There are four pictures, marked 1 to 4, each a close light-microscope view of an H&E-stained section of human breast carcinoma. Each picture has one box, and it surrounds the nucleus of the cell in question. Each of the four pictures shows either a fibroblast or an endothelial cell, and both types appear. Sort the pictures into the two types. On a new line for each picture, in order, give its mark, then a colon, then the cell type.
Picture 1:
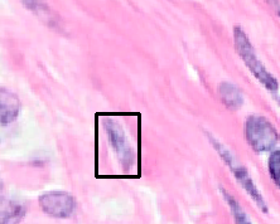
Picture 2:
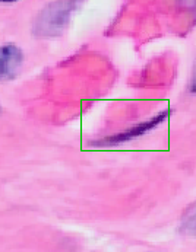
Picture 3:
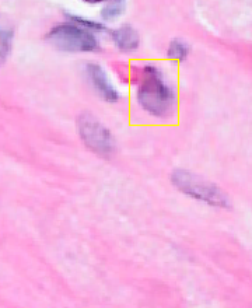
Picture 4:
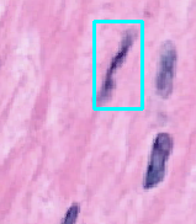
1: fibroblast
2: endothelial cell
3: endothelial cell
4: fibroblast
